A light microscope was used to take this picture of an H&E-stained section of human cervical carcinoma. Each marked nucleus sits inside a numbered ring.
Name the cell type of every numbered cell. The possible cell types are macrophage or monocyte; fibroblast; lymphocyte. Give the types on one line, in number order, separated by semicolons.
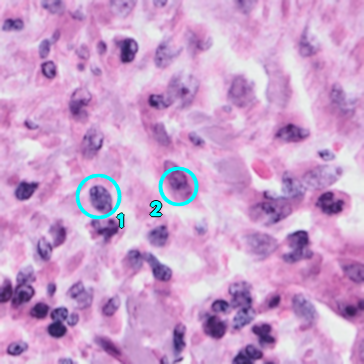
lymphocyte; macrophage or monocyte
